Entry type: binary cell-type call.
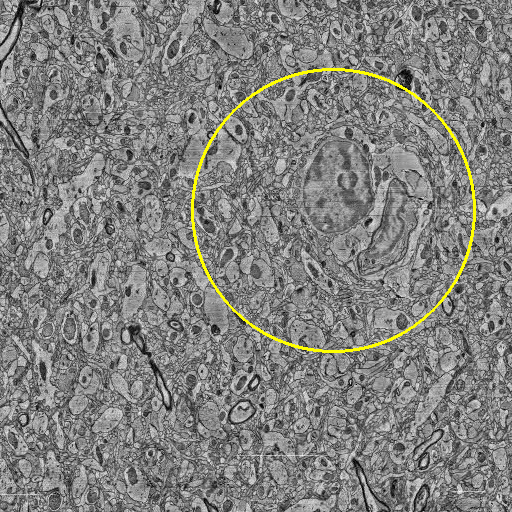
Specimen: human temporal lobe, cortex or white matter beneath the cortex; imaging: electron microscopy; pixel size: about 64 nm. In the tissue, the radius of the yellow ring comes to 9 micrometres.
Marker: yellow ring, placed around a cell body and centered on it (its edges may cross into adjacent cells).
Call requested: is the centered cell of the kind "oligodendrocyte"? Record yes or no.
yes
